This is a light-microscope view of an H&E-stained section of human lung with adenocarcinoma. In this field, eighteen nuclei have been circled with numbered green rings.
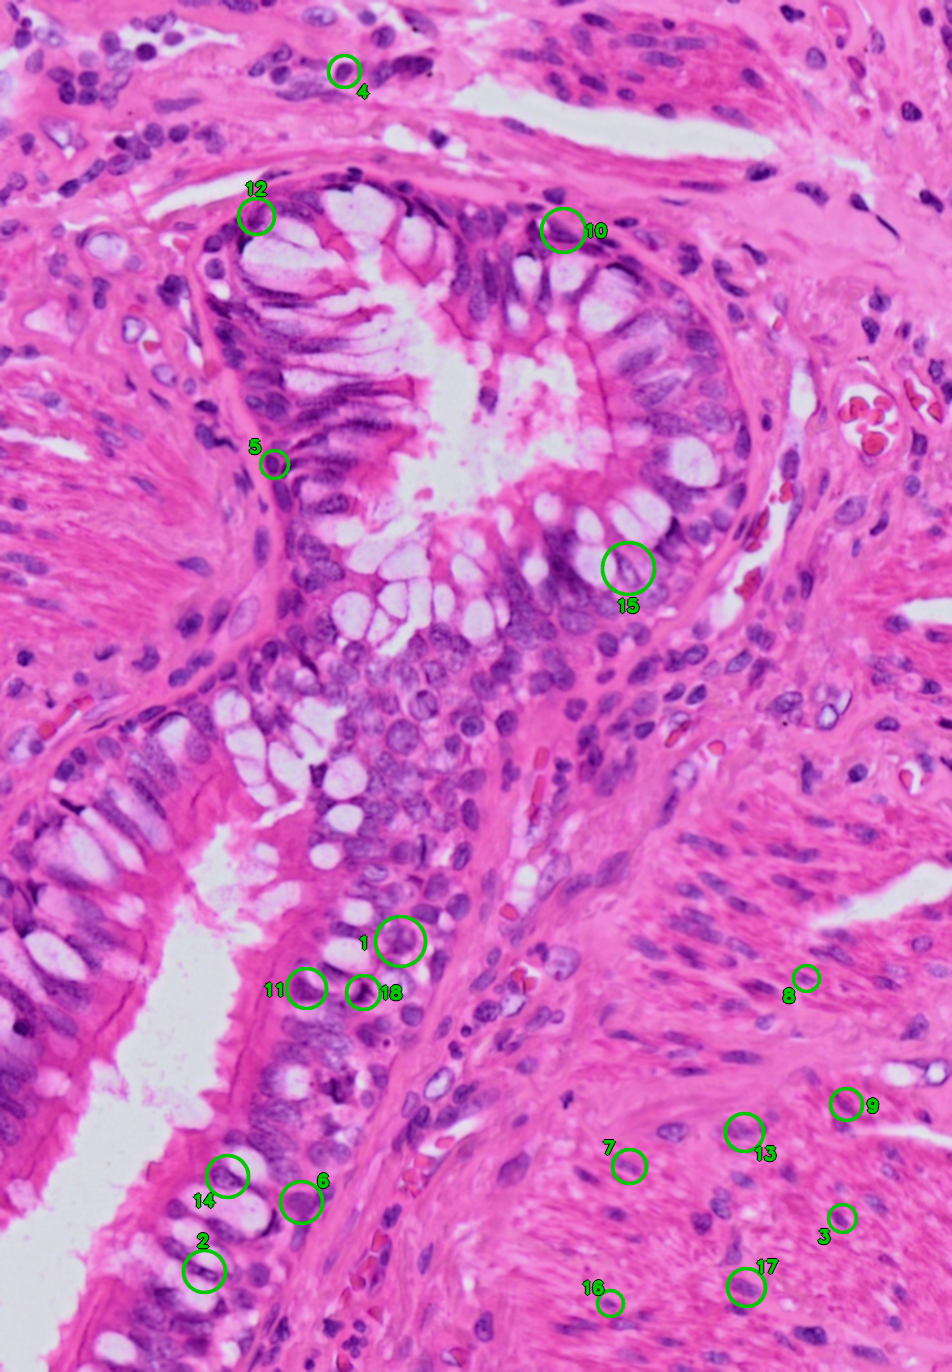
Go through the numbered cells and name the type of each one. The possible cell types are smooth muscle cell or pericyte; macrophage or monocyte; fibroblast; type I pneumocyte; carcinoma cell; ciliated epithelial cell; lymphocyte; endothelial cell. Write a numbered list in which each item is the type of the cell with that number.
1. ciliated epithelial cell
2. ciliated epithelial cell
3. smooth muscle cell or pericyte
4. lymphocyte
5. ciliated epithelial cell
6. ciliated epithelial cell
7. smooth muscle cell or pericyte
8. smooth muscle cell or pericyte
9. smooth muscle cell or pericyte
10. ciliated epithelial cell
11. ciliated epithelial cell
12. ciliated epithelial cell
13. smooth muscle cell or pericyte
14. ciliated epithelial cell
15. ciliated epithelial cell
16. smooth muscle cell or pericyte
17. smooth muscle cell or pericyte
18. ciliated epithelial cell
